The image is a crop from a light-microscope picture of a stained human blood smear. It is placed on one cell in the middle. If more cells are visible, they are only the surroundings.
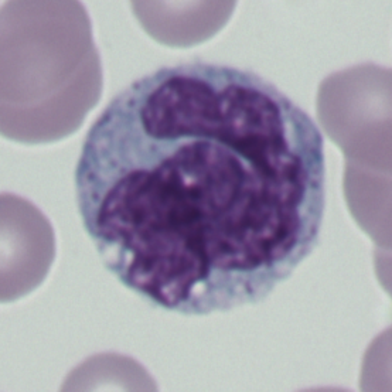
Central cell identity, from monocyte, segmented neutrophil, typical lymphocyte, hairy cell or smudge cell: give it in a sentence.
Of the cells in this crop, the central one is a monocyte.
